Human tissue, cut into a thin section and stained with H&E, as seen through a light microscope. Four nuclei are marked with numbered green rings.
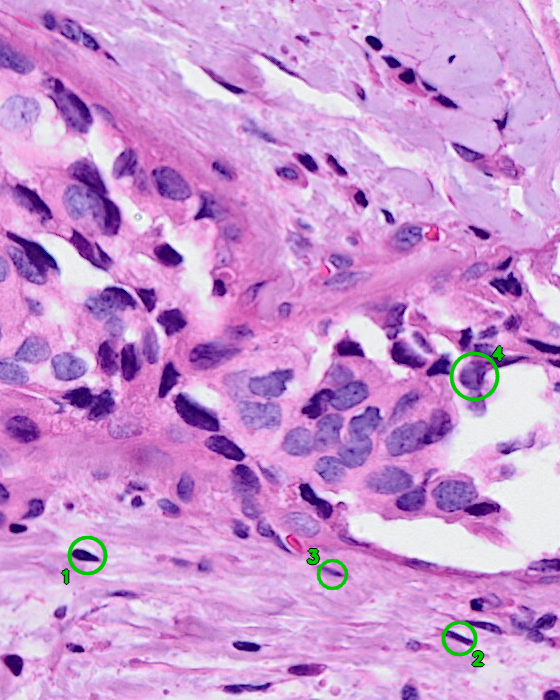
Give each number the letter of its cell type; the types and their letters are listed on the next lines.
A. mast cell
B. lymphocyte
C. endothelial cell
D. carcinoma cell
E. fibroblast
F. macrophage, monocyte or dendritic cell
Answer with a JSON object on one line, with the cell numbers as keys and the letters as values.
{"1": "B", "2": "E", "3": "E", "4": "D"}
